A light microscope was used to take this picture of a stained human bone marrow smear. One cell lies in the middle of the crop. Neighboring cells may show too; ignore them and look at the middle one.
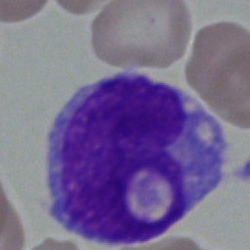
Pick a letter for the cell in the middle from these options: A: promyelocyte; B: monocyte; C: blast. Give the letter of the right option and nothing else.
B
